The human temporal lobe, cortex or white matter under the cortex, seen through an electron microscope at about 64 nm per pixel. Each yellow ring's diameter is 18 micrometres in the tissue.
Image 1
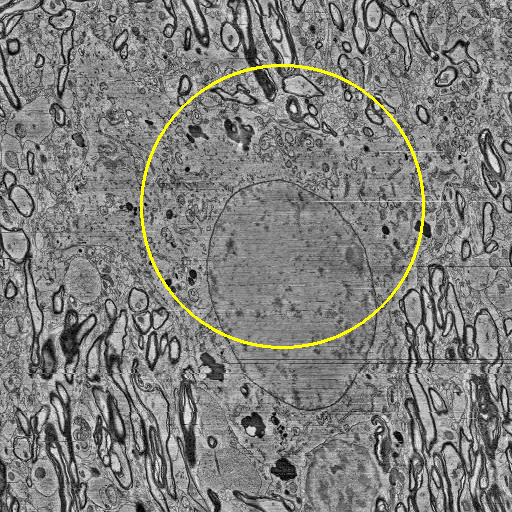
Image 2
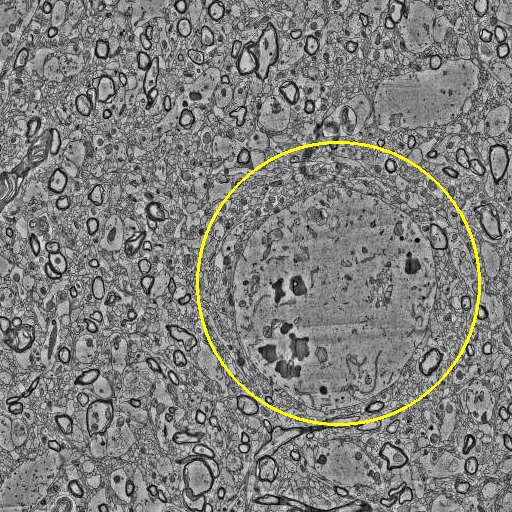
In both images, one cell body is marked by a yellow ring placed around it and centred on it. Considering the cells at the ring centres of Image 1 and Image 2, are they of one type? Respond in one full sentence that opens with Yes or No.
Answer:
Yes, a single type applies to the ring-centred cells of both Image 1 and Image 2.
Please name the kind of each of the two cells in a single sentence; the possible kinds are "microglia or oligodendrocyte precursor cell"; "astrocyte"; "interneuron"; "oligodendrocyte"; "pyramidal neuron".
The cell at the ring centre is a pyramidal neuron in both pictures.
